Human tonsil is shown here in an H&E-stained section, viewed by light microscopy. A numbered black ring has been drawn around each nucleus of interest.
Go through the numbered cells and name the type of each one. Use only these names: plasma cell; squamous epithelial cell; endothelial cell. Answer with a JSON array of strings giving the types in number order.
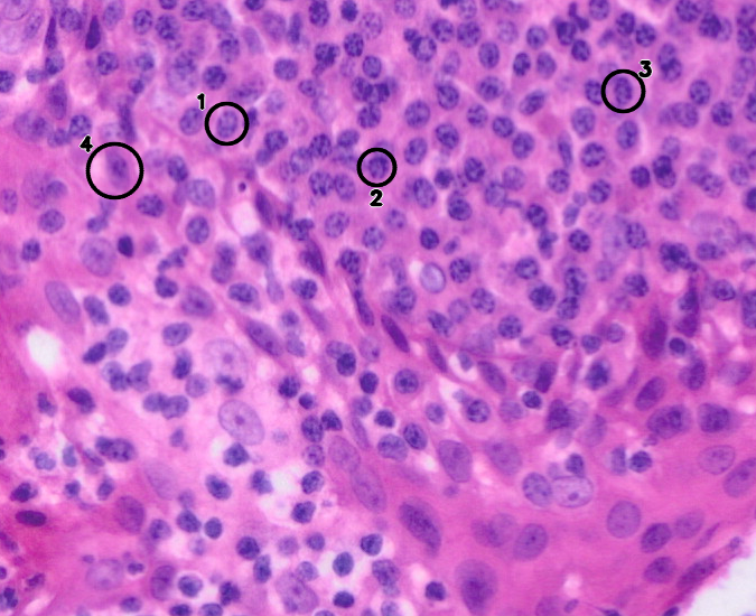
["plasma cell", "plasma cell", "plasma cell", "squamous epithelial cell"]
